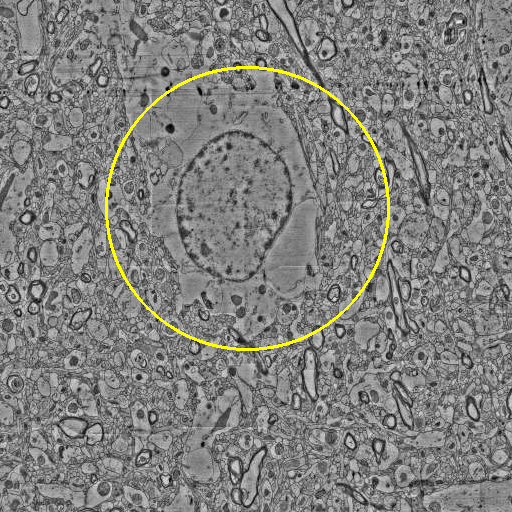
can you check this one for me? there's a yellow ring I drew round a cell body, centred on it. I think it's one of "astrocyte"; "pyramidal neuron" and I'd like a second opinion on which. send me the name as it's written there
astrocyte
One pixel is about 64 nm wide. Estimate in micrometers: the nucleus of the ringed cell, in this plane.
In this plane the nucleus spans approximately 10 by 7 micrometers.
